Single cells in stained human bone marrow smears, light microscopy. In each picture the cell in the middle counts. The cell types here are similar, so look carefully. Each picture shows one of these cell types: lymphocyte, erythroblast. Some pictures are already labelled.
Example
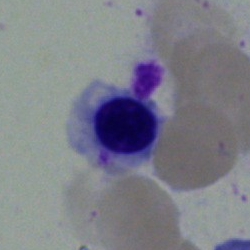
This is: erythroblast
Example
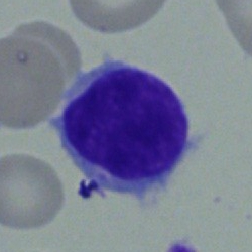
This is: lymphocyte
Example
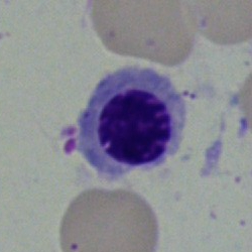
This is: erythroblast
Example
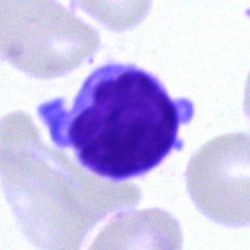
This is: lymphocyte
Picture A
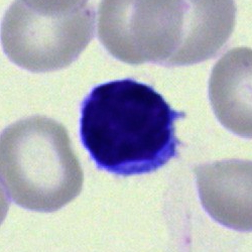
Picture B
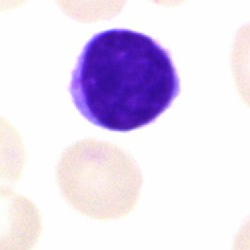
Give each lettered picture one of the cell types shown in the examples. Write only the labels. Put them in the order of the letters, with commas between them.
lymphocyte, lymphocyte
